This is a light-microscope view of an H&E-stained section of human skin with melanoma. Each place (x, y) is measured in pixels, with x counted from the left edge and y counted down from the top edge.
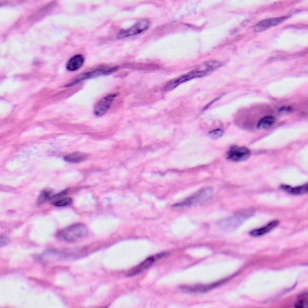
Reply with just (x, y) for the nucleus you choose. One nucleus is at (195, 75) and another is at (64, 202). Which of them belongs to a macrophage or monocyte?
(64, 202)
